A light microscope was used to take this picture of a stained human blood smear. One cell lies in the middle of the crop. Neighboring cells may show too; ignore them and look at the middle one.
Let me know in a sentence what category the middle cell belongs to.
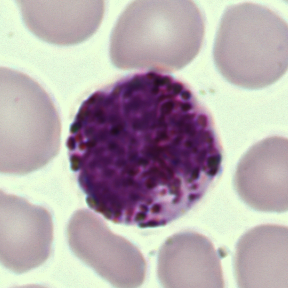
In the central position of this crop, the cell is a basophil.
